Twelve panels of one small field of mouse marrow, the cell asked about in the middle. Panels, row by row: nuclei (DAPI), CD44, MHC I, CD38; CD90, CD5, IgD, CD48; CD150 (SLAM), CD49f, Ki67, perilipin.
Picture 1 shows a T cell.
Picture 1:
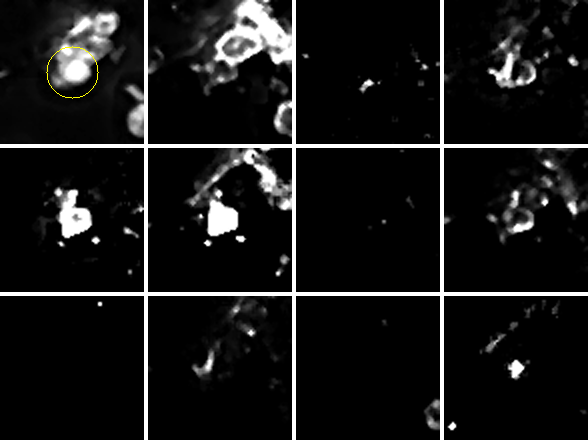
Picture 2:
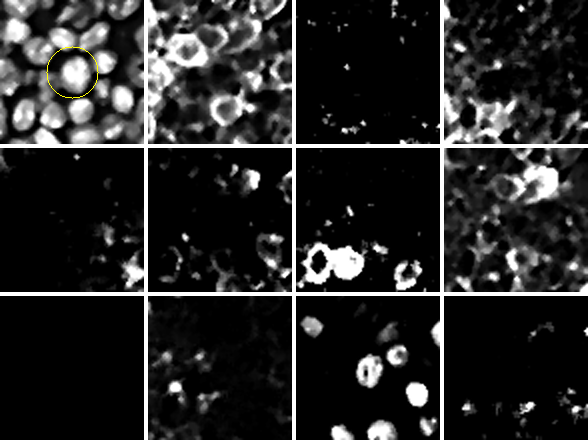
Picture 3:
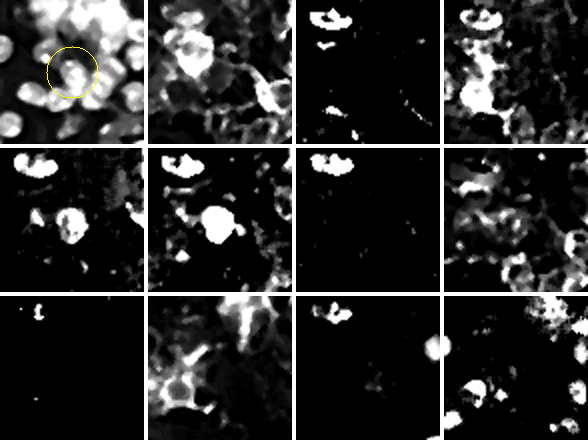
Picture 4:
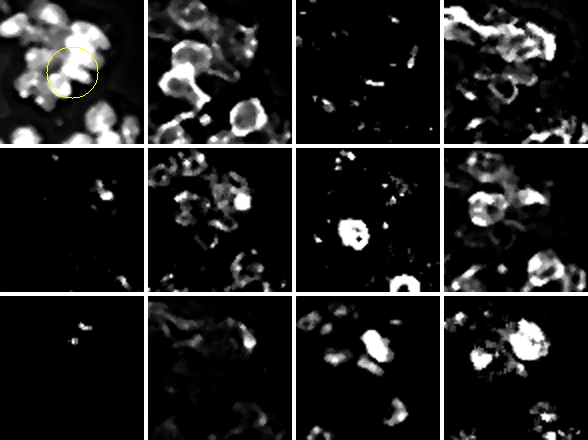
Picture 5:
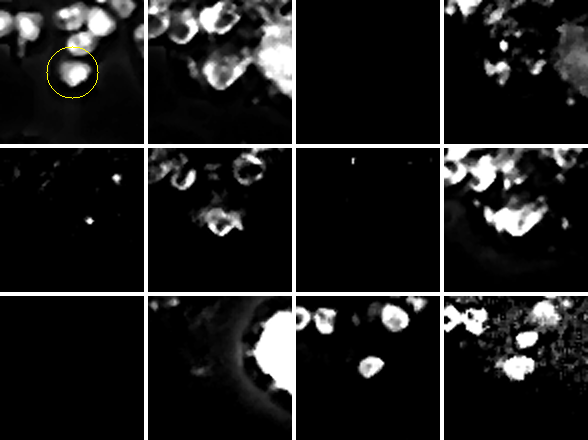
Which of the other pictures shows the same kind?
Picture 3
